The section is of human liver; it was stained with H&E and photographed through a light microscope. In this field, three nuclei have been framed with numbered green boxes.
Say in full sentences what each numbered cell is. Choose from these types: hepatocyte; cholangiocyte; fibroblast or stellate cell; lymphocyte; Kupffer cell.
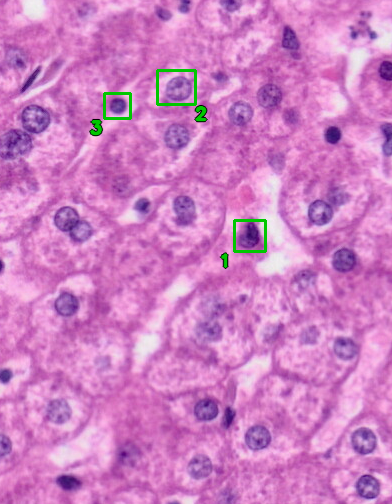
Cell 1 is a Kupffer cell. Cell 2 is a hepatocyte. Cell 3 is a lymphocyte.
